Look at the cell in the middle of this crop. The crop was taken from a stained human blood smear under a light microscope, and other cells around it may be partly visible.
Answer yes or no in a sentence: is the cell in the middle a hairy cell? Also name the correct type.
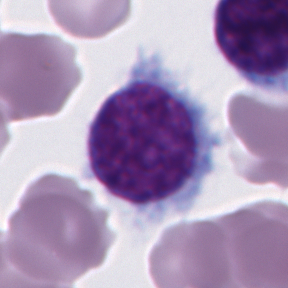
Yes, the centrally placed cell is a hairy cell.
